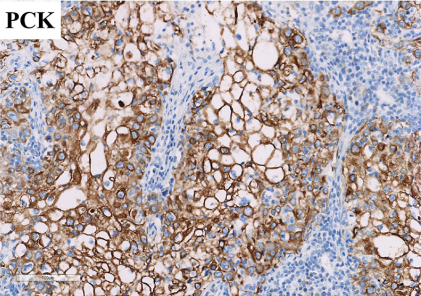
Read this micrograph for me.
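Nests of carcinoma cells are seen separated by narrow bands of stroma. The tumor cells are large and polygonal, and their cell borders and cytoplasm are stained strongly brown, so that each cell stands out as a dark-rimmed outline. Many cells have clear, vacuolated cytoplasm, giving the nests a bubbly appearance with empty round spaces. Nuclei are round to oval and blue. The intervening stroma is unstained and holds spindle-shaped and small round nuclei stained only blue, forming a sharp contrast with the brown tumor nests.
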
